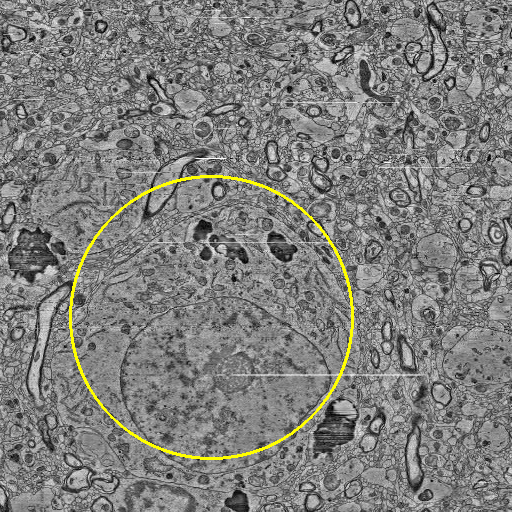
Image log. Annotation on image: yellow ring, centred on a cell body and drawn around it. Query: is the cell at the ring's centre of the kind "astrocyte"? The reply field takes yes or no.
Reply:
no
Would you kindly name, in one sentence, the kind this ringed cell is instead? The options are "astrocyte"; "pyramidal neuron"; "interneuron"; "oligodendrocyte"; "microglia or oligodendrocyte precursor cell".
The cell that the ring is centred on is an interneuron.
